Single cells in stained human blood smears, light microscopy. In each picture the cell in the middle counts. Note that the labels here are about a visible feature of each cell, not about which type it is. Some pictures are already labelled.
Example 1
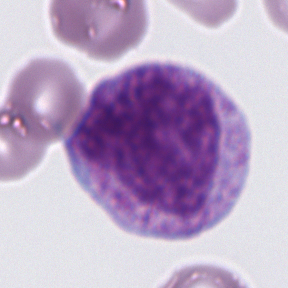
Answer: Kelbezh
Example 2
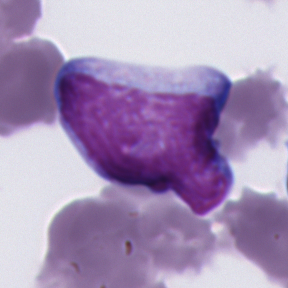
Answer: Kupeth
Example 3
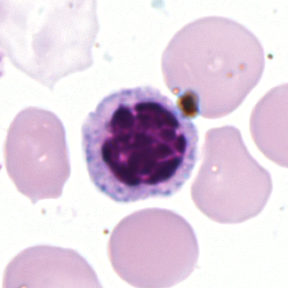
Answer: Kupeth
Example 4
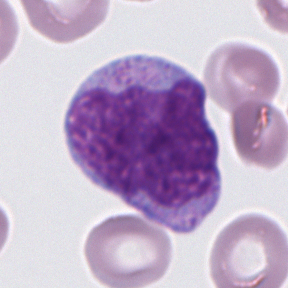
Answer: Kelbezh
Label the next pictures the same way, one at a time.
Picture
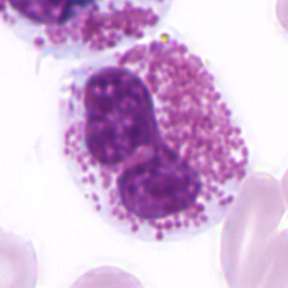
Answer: Kelbezh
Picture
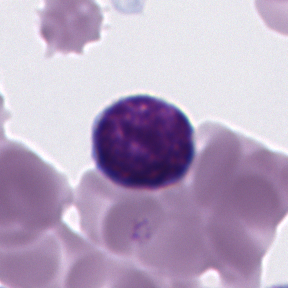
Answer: Kelbezh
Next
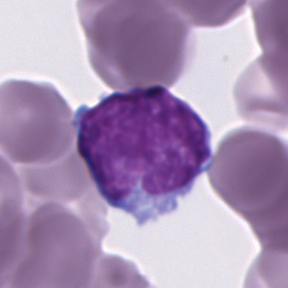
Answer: Kupeth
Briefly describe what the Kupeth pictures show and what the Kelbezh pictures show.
Kupeth, ragged outline or projections; Kelbezh, smooth outline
